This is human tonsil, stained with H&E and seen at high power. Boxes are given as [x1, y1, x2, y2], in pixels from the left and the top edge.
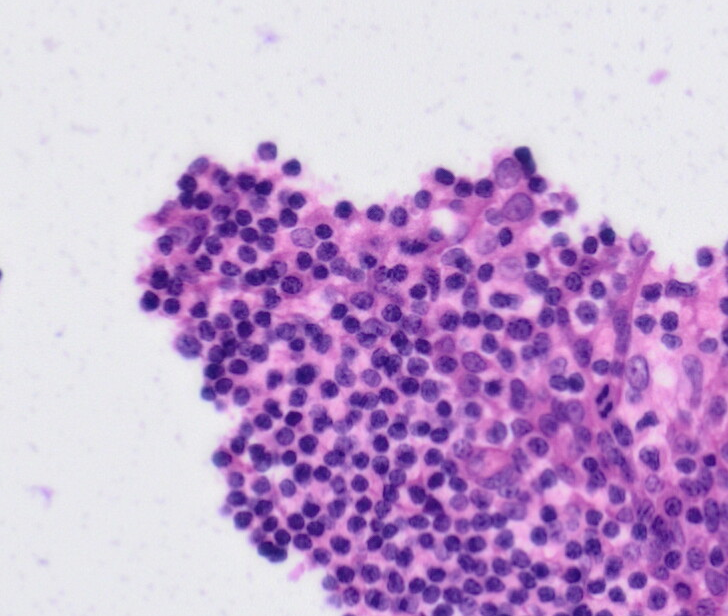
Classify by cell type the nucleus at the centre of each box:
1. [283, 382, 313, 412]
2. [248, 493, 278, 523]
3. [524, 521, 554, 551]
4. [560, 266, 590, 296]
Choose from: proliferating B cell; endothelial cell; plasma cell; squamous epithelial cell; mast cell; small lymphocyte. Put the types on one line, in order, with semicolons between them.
small lymphocyte; small lymphocyte; small lymphocyte; plasma cell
